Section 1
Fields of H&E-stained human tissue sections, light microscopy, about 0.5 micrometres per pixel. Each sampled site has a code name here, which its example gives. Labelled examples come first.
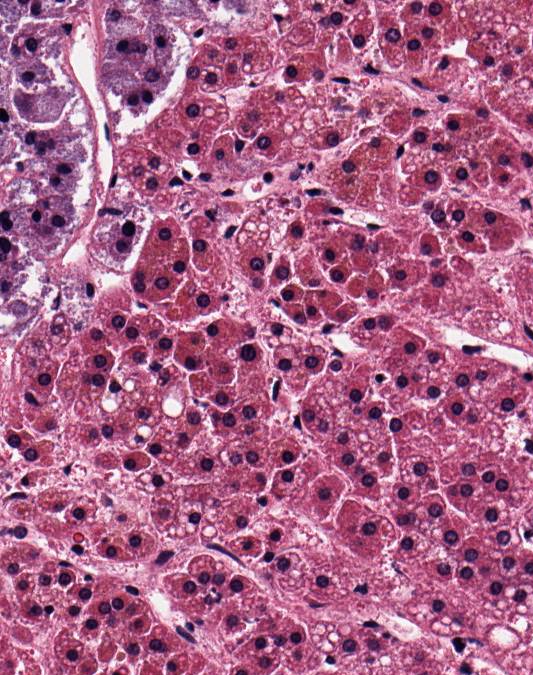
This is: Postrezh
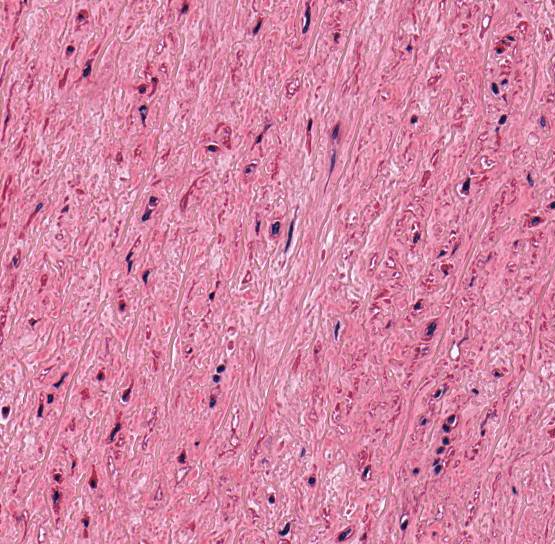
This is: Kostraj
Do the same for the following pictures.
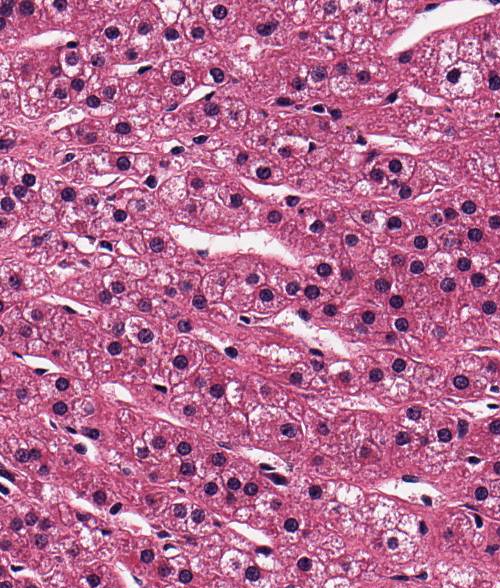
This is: Postrezh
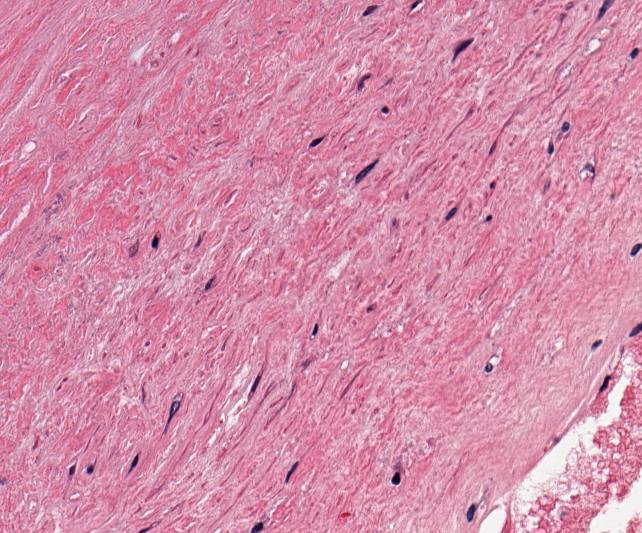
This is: Kostraj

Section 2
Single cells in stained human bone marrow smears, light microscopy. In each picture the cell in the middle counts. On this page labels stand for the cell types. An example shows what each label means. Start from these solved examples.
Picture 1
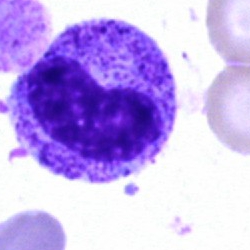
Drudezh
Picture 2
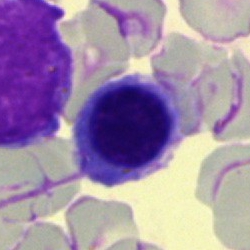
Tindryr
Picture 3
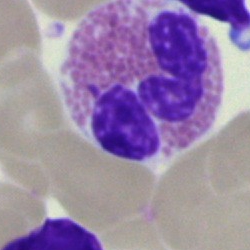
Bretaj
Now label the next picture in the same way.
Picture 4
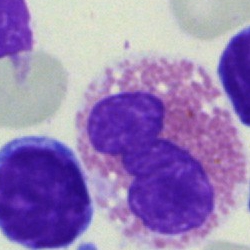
Bretaj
